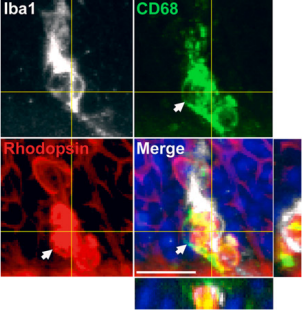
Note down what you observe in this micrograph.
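This is the outer nuclear layer of the retina, where photoreceptor somata are packed closely, each outlined by a thin red ring. One of these holds a whole round red-filled soma, showing a photoreceptor taken up inside the microglial cell.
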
